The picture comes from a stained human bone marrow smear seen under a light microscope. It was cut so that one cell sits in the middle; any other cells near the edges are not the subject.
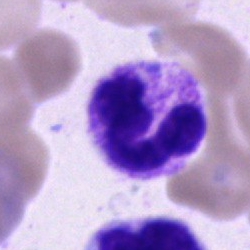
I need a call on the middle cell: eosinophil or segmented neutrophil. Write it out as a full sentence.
The middle of this crop holds a segmented neutrophil.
